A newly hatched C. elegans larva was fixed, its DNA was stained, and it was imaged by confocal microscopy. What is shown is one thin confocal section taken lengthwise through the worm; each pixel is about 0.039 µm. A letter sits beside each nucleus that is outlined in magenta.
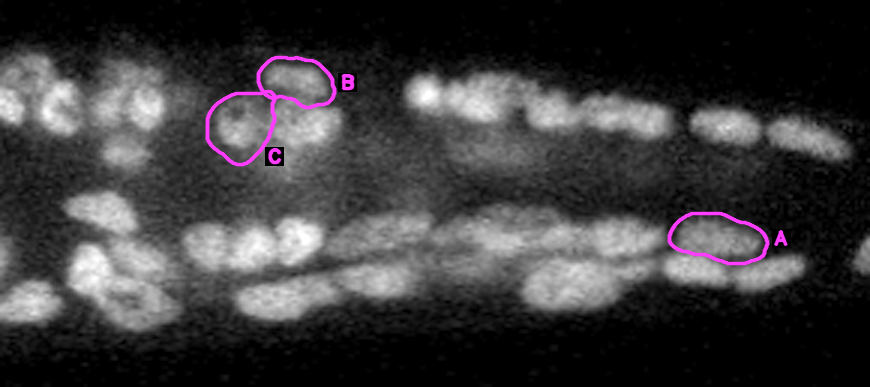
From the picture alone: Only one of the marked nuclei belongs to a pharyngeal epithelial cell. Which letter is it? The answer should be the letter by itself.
A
